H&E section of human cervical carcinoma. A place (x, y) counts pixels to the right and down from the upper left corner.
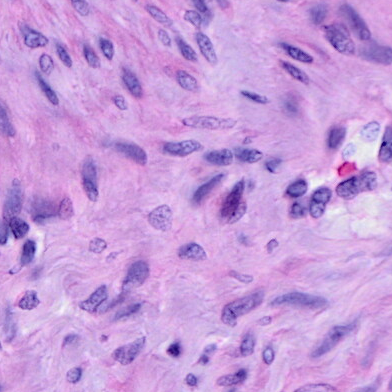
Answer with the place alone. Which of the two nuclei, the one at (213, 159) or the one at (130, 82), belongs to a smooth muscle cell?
(130, 82)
